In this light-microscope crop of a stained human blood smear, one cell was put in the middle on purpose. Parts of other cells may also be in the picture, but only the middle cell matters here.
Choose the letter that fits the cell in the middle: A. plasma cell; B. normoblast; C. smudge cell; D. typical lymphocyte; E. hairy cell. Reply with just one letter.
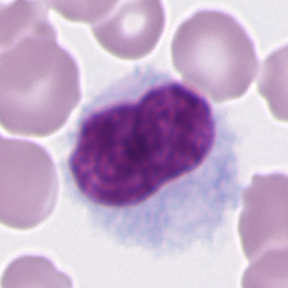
E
